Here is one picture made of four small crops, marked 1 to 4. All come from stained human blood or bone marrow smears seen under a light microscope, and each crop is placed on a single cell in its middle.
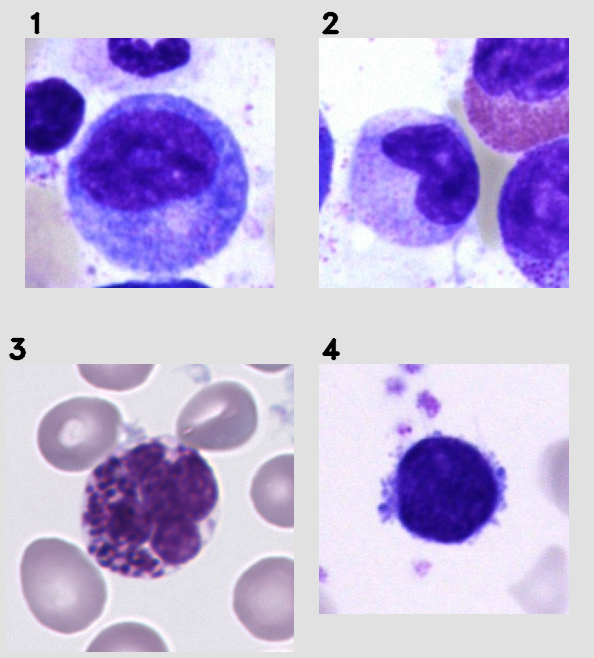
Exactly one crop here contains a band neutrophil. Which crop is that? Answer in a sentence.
Crop 2, of the crops presented, is the one showing a band neutrophil.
